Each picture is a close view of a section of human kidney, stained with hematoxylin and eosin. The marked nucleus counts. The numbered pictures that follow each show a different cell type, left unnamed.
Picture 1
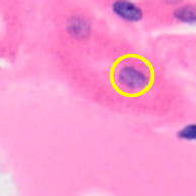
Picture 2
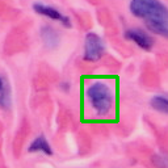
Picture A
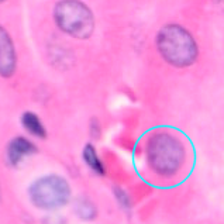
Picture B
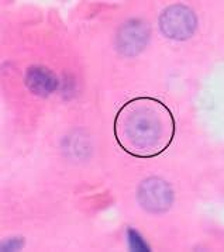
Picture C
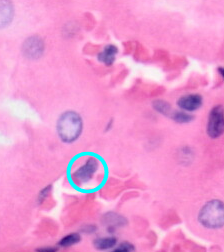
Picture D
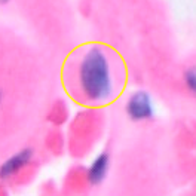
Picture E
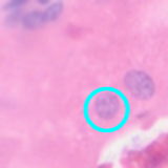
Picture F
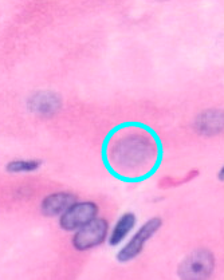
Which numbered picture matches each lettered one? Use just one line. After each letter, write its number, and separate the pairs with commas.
A 1, B 1, C 2, D 2, E 1, F 1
